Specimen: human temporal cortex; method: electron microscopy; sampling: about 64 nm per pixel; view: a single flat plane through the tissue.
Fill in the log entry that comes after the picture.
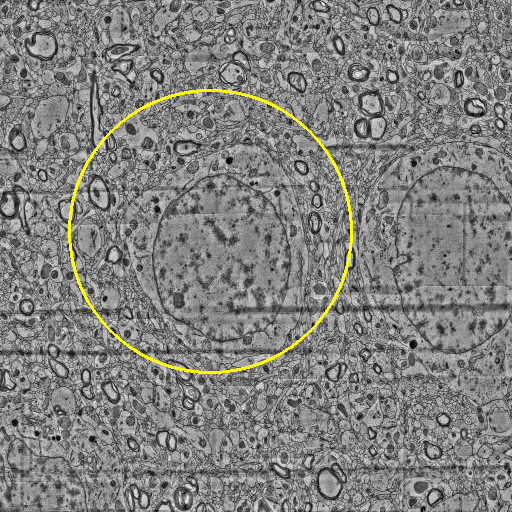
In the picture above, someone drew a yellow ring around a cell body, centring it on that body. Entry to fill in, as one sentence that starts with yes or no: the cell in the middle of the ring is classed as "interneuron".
No, the cell in the ring's centre in this image is of a different kind.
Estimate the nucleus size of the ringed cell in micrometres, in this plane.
Roughly 11 micrometres by 9 micrometres, in this plane.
